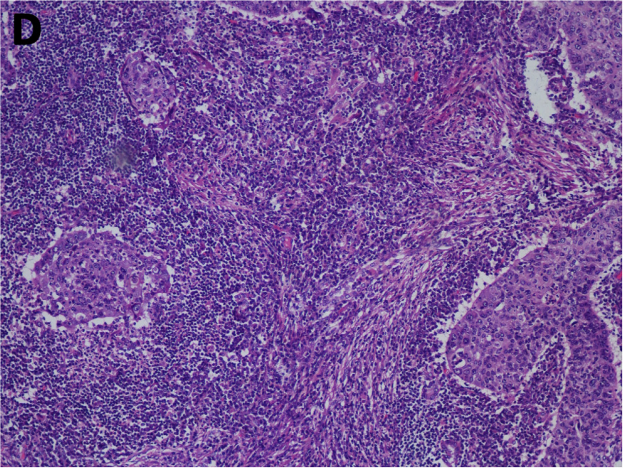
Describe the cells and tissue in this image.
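This is tumor tissue in which the stroma is overrun by lymphocytes, seen as sheets of small, round, darkly staining nuclei with scant cytoplasm. Through the middle runs a streaming band of elongated spindle-shaped stromal cells with pink fibres. At the edges lie islands of much larger tumor cells with pale pink cytoplasm and bigger, paler nuclei. The small dark lymphocytes crowd right up against these islands, leaving little bare stroma.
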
